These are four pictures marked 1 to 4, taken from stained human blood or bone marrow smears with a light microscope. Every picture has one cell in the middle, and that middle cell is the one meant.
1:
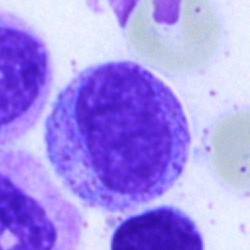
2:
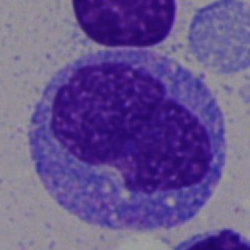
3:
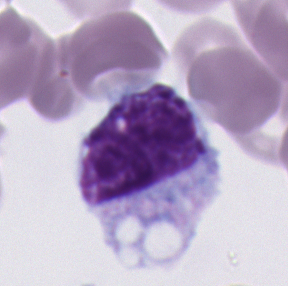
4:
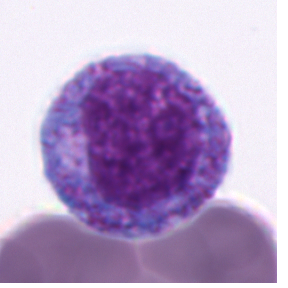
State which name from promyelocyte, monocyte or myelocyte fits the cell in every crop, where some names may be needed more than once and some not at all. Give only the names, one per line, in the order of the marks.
myelocyte
monocyte
monocyte
promyelocyte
